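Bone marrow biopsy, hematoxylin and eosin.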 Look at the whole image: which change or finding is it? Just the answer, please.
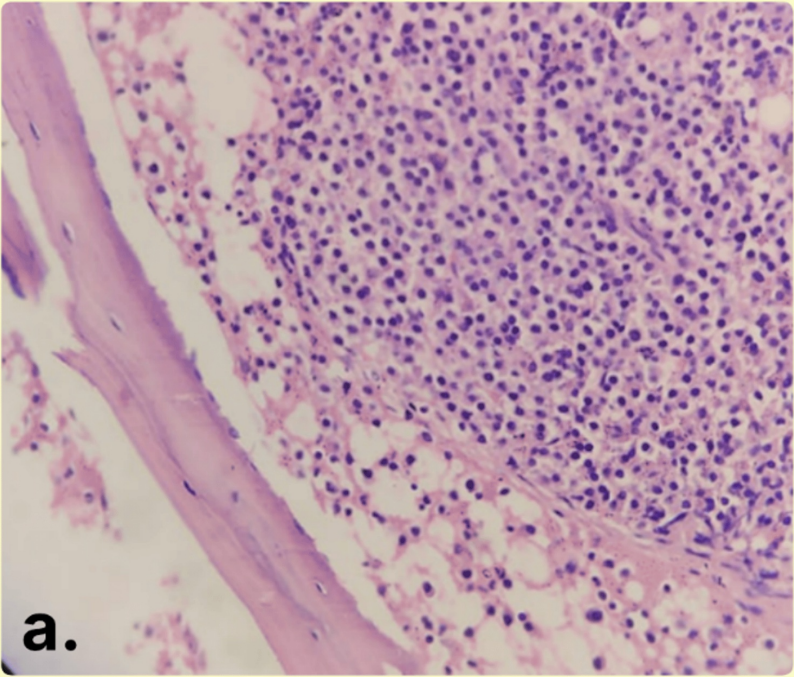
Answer: Plasma cells in sheets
